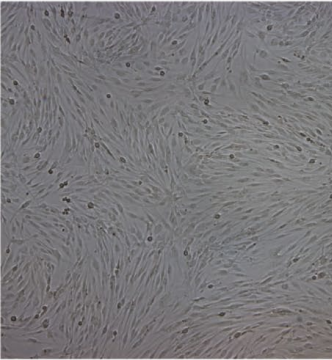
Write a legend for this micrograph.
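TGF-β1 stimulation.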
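A confluent layer of elongated spindle cells in parallel, swirling streams, with scattered small, rounded, bright-edged cells sitting among them. Apart from those rounded cells the layer keeps the spindle shapes and streaming arrangement of cultured fibroblasts.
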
